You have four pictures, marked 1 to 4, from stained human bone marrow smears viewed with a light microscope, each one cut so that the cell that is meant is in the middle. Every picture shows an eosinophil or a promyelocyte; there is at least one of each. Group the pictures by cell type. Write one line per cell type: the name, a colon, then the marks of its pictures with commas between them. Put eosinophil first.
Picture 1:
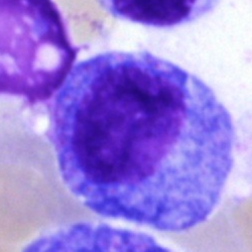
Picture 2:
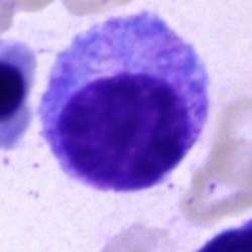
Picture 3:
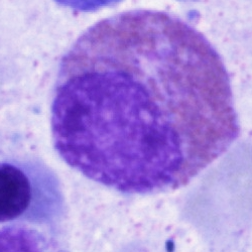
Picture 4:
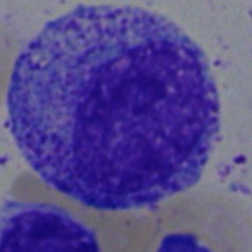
eosinophil: 3
promyelocyte: 1, 2, 4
